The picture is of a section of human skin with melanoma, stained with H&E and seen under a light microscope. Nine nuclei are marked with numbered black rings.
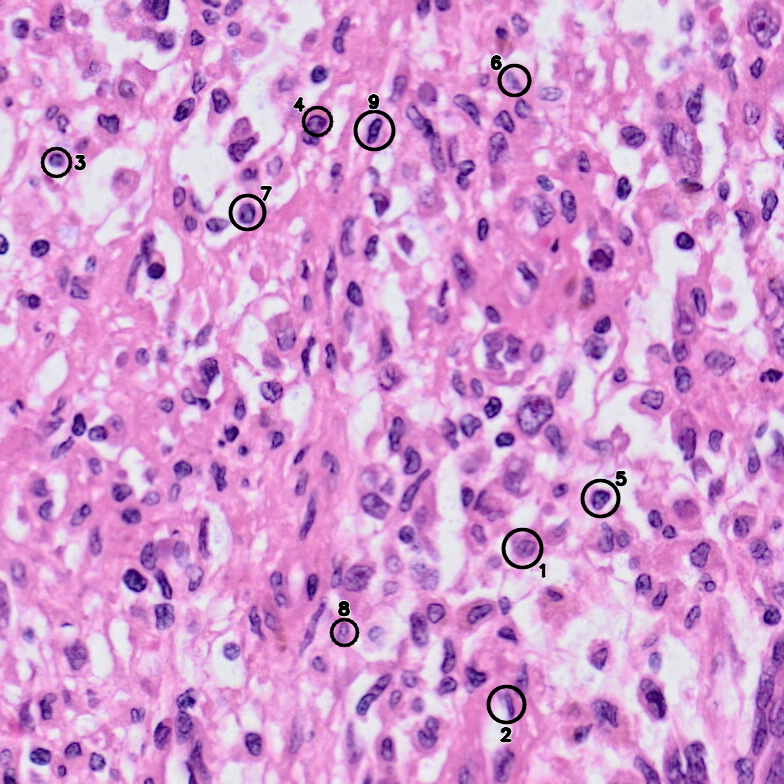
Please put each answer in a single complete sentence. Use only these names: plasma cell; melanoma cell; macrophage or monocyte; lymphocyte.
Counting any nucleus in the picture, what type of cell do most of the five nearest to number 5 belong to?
Macrophages or monocytes make up most of the five nuclei closest to number 5.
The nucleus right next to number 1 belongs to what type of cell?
The nearest nucleus to number 1 belongs to a macrophage or monocyte.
